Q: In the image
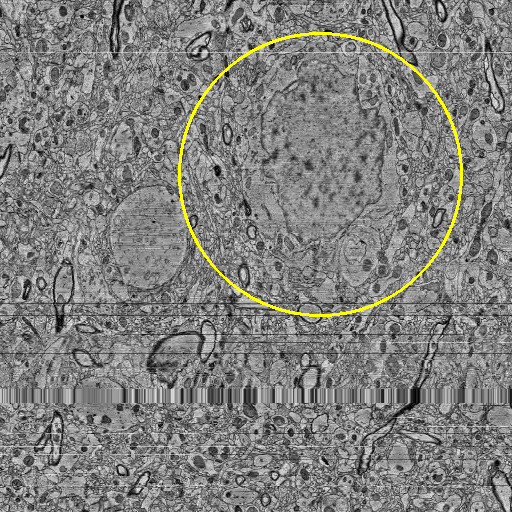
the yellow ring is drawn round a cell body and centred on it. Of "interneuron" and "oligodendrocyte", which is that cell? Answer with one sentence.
The cell centred in the ring is an interneuron.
